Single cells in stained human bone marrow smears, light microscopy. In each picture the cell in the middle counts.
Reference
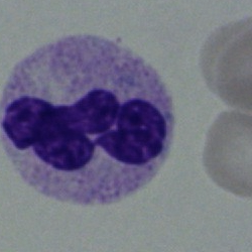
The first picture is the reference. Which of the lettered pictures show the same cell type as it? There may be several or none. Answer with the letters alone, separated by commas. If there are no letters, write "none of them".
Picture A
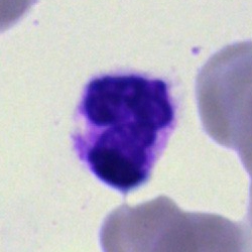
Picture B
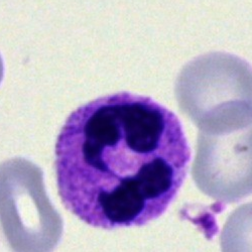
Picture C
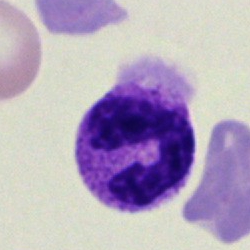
B, C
